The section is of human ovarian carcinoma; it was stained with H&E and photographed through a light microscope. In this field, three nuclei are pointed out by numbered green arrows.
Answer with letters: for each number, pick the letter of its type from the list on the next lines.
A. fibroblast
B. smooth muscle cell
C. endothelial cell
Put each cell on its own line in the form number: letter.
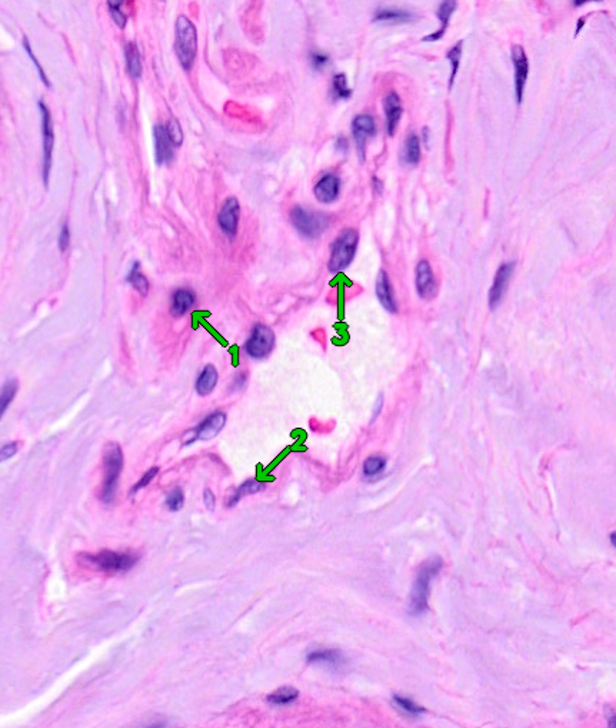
1: B
2: C
3: C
